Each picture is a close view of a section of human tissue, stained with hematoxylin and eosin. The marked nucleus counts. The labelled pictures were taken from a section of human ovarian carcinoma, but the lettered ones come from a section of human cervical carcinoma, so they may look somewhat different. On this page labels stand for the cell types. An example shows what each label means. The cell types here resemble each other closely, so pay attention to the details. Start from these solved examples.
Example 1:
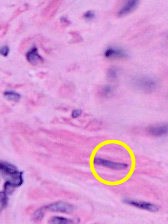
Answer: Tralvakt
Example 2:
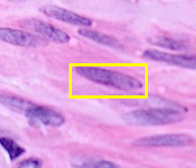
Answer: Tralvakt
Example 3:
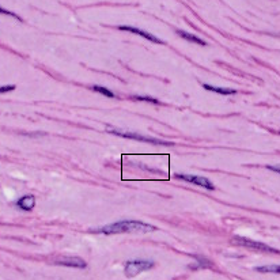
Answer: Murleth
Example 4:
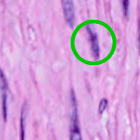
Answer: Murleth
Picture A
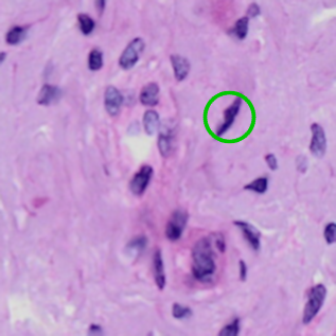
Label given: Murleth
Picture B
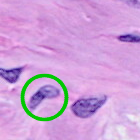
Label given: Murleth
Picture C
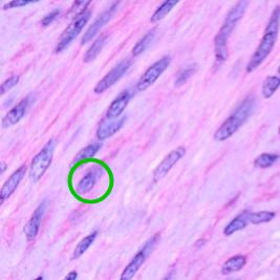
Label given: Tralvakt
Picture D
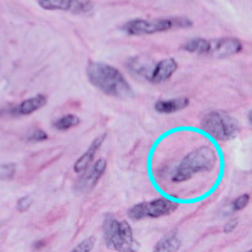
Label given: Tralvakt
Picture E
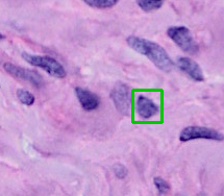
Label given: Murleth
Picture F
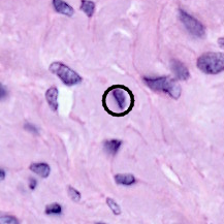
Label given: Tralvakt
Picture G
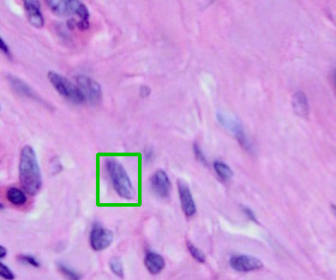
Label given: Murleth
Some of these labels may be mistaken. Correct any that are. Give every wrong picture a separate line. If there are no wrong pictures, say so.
F: change Tralvakt to Murleth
